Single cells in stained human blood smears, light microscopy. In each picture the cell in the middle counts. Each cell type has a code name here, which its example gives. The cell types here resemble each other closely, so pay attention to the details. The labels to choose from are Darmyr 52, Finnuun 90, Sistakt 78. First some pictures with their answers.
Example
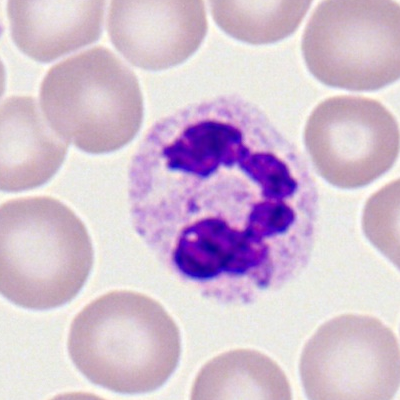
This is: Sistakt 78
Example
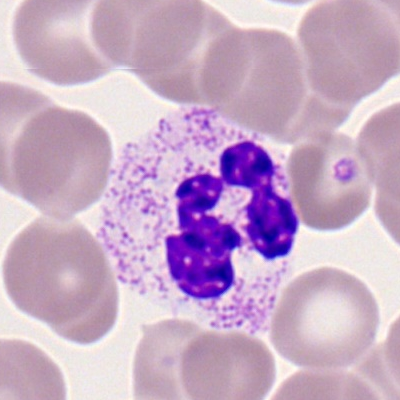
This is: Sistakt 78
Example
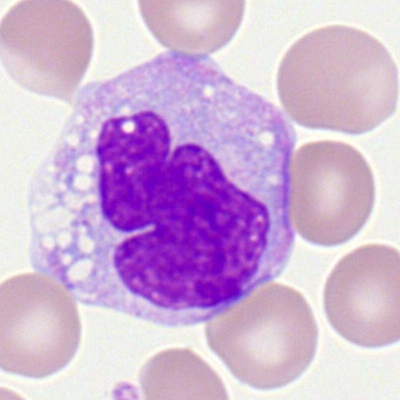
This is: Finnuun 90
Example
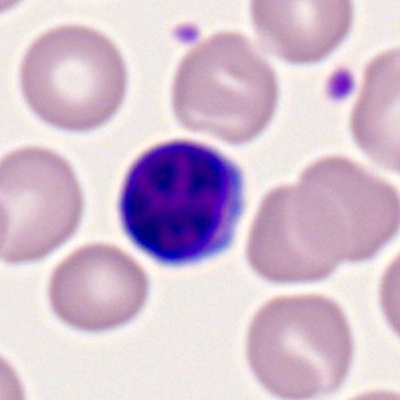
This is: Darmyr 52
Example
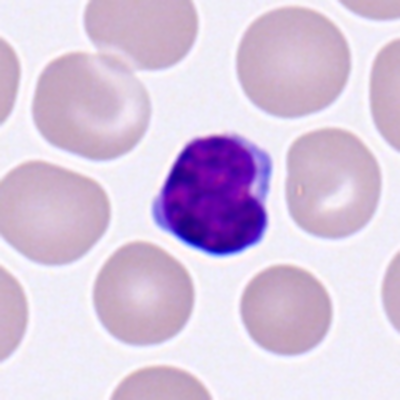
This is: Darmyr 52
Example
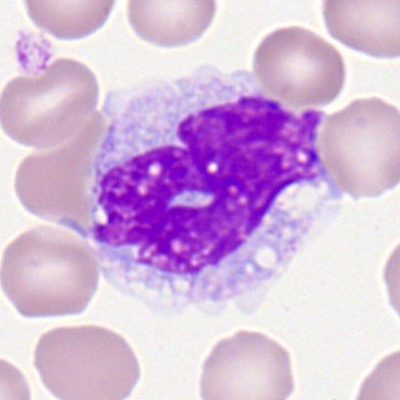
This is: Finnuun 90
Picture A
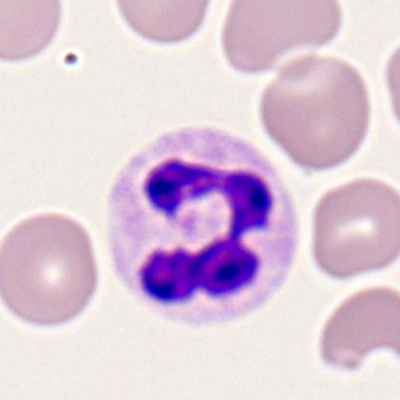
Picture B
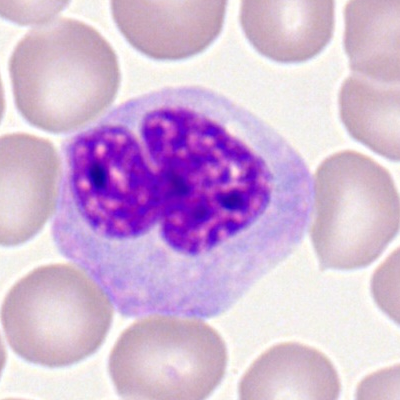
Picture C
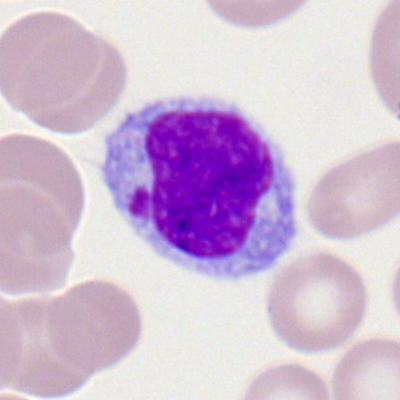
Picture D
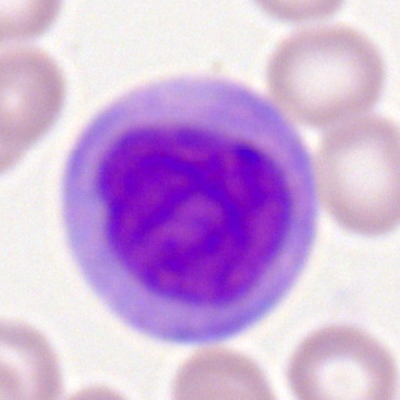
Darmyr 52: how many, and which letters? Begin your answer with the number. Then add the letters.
1: C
